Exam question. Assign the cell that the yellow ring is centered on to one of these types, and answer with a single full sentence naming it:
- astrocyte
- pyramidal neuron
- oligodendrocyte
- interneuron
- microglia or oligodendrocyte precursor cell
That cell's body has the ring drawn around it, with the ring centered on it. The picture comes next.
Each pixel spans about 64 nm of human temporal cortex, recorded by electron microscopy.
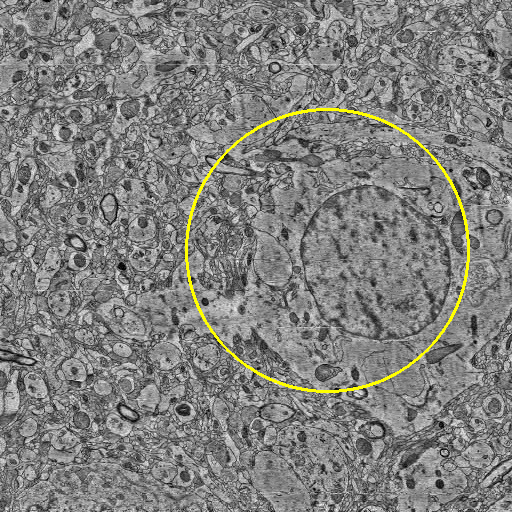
In the micrograph, the cell the yellow ring is centered on is an astrocyte.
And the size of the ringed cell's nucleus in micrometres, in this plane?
Roughly 10 micrometres across, measured in this plane.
